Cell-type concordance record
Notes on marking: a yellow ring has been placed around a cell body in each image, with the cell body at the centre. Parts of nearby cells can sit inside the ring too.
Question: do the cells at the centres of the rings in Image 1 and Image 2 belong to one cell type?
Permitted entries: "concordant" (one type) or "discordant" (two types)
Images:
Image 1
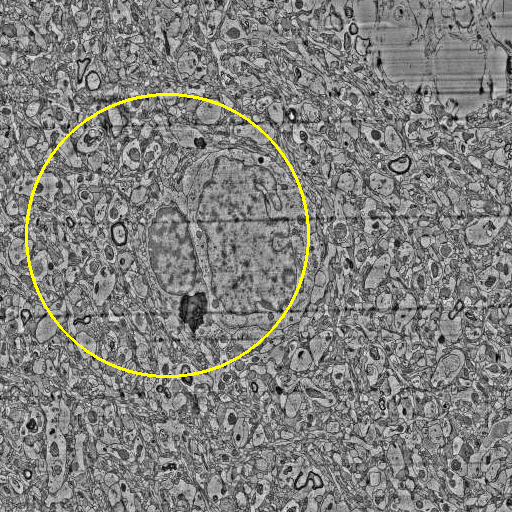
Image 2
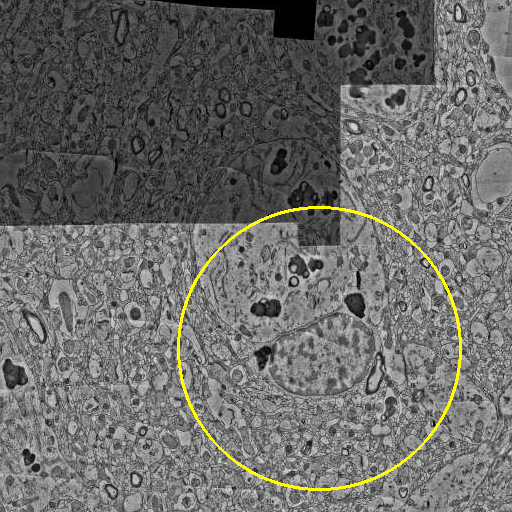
concordant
